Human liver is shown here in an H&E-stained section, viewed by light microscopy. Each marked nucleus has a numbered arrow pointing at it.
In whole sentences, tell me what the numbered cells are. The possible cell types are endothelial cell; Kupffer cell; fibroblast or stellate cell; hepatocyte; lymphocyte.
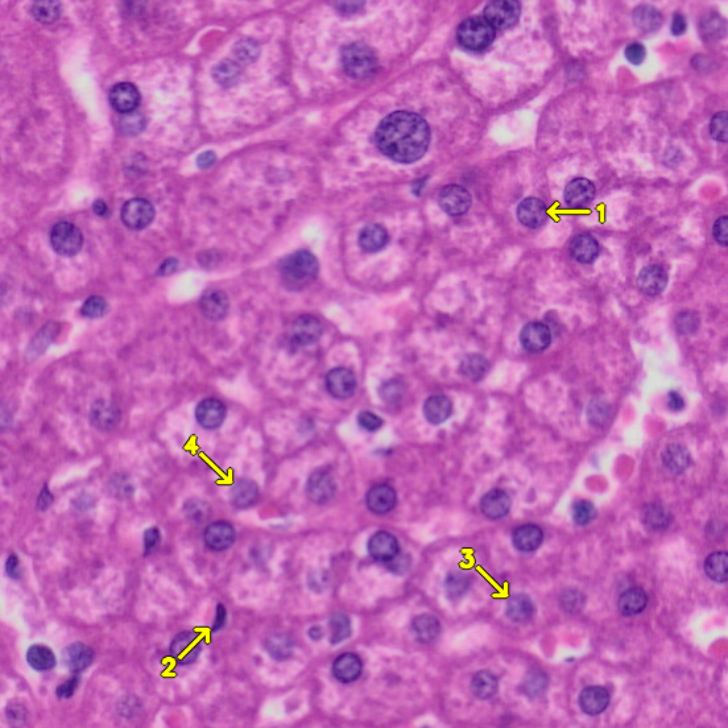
Cells 1, 3 and 4 are hepatocytes. Cell 2 is an endothelial cell.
